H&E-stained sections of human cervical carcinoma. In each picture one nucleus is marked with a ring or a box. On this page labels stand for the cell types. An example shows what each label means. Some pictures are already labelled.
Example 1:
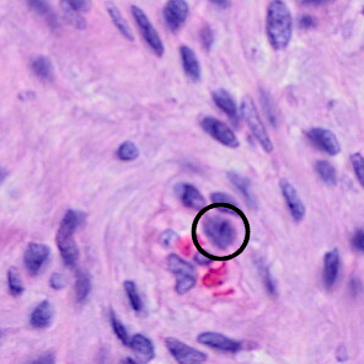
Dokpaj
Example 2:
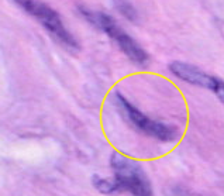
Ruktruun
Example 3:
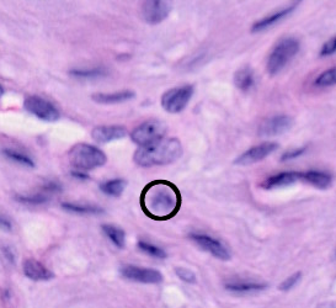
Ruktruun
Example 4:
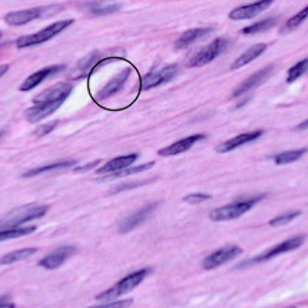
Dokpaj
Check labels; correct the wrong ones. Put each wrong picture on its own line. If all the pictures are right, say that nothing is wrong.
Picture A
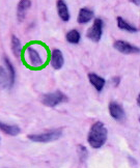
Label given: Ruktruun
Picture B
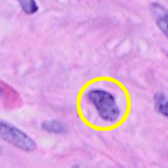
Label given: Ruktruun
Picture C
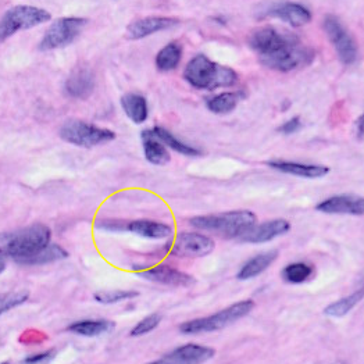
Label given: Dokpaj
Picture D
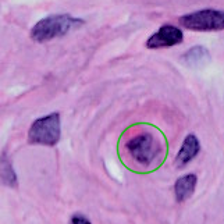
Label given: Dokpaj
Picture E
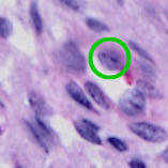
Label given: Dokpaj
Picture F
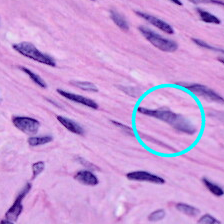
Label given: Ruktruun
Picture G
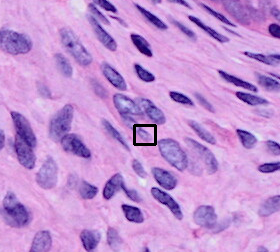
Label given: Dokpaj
No label is wrong.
